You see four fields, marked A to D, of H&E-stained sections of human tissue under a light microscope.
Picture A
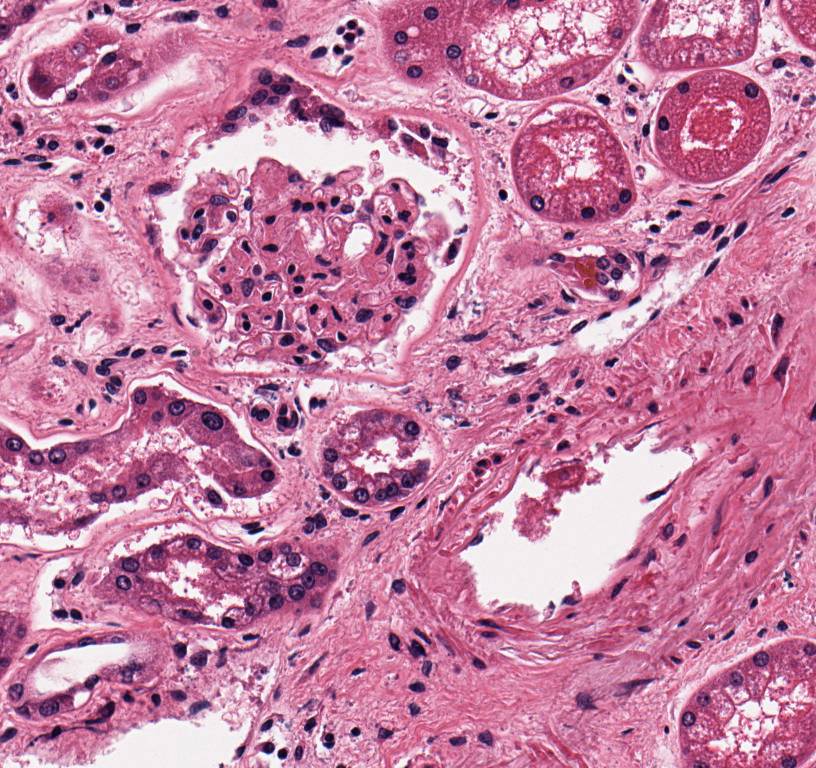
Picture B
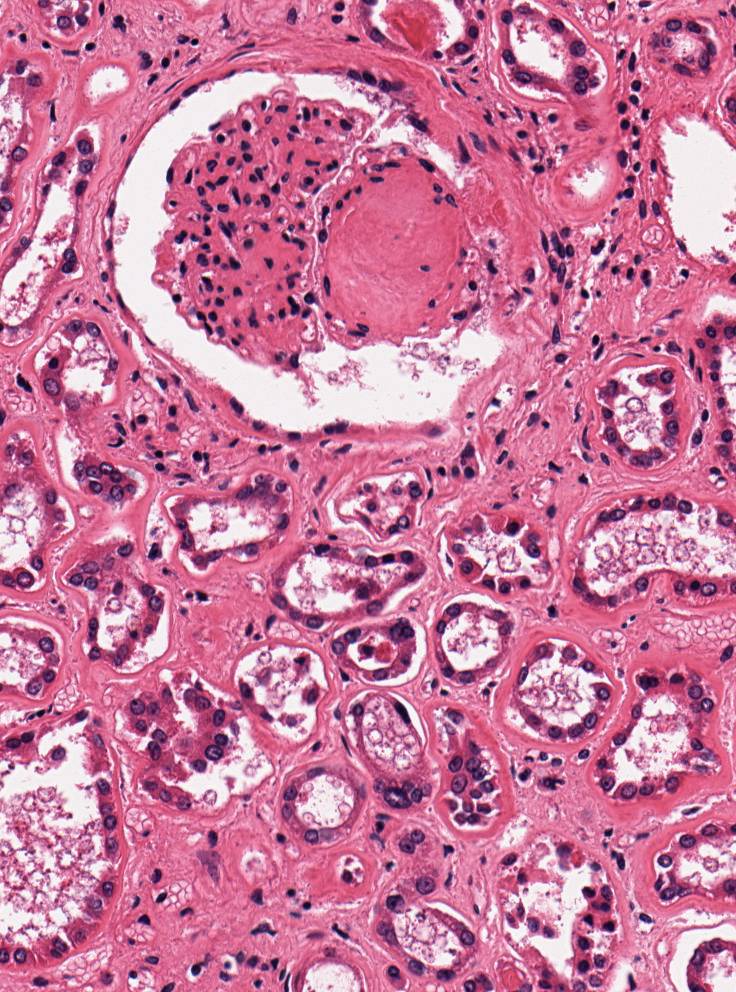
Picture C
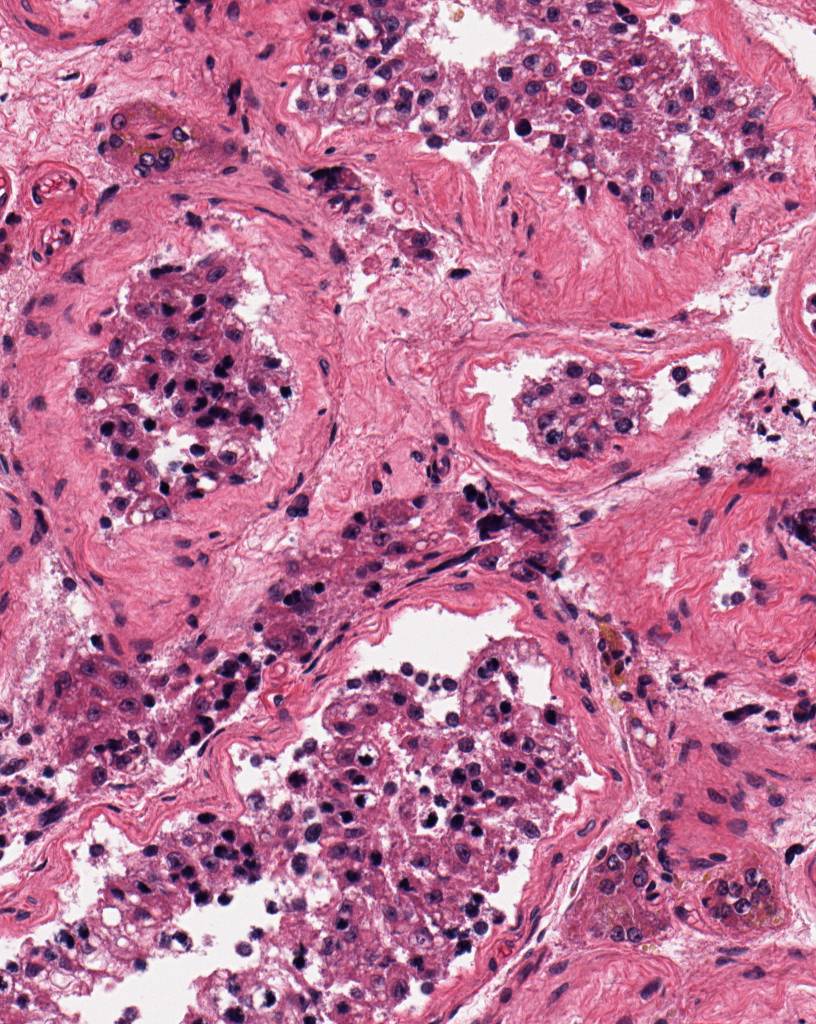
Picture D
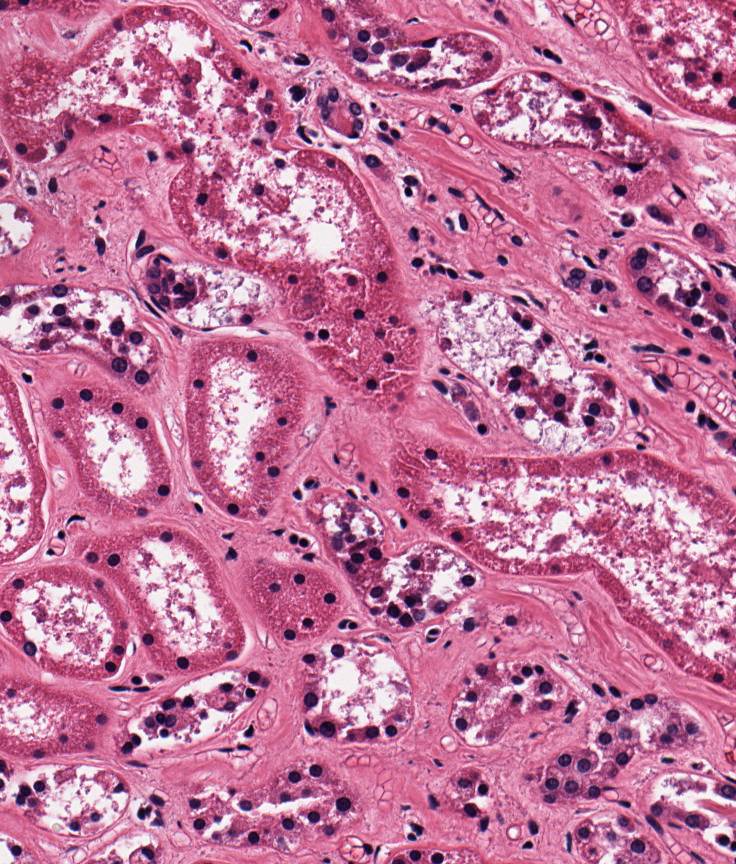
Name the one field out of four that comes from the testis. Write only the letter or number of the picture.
C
